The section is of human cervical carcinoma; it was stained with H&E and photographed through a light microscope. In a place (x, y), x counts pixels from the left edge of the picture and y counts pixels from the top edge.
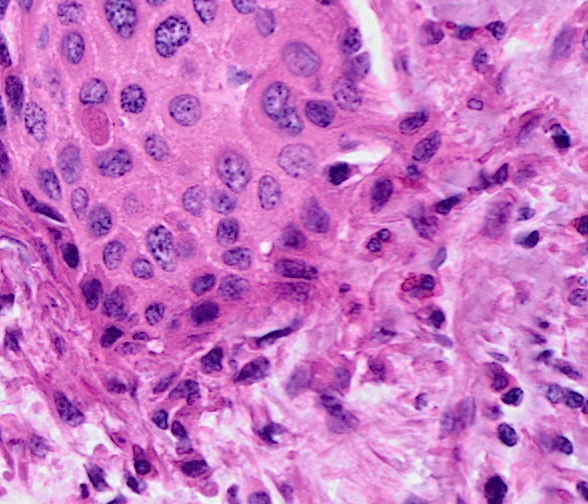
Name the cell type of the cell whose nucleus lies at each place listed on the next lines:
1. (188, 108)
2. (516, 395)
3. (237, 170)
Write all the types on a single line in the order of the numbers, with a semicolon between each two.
squamous carcinoma cell; lymphocyte; squamous carcinoma cell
